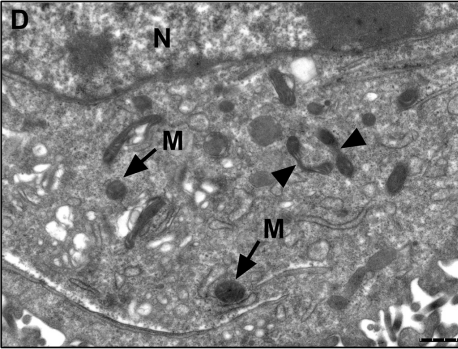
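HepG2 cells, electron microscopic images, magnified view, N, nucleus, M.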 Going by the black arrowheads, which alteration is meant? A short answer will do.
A: Sites of mitochondrial fission.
